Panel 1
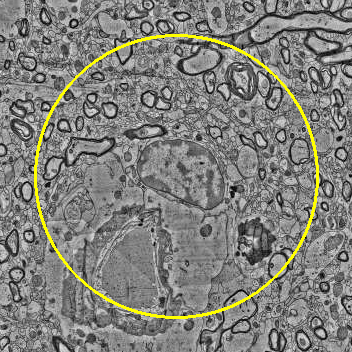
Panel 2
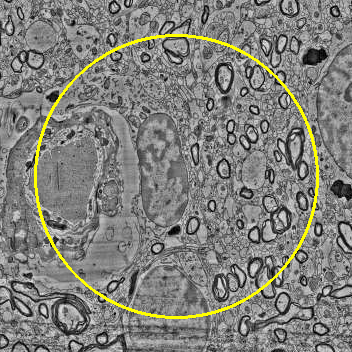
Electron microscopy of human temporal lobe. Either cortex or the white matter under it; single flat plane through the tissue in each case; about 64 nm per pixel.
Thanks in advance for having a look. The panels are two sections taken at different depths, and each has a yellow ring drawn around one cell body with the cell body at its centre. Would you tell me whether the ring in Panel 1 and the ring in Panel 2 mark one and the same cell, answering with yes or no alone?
no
